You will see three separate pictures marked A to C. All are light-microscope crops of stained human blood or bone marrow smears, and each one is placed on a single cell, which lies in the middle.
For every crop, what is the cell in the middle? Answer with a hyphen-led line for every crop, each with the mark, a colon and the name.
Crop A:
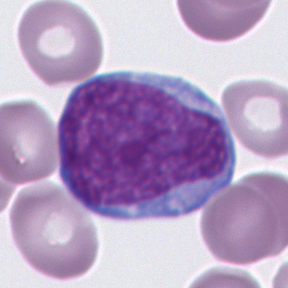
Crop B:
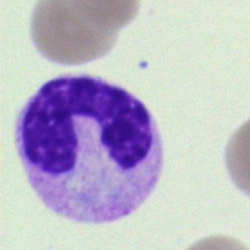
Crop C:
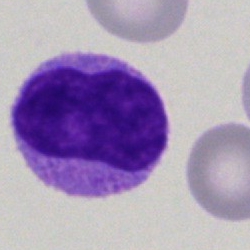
- A: blast
- B: band neutrophil
- C: monocyte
